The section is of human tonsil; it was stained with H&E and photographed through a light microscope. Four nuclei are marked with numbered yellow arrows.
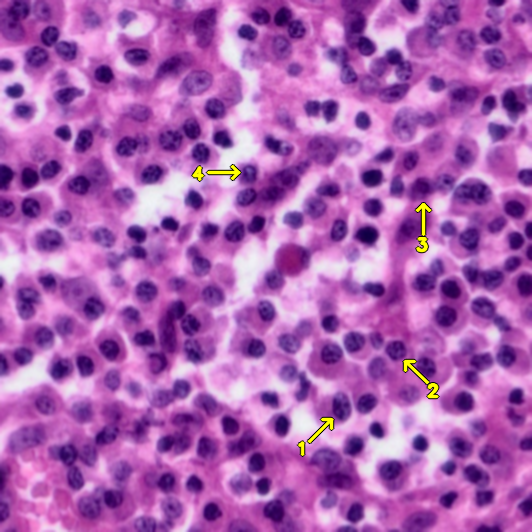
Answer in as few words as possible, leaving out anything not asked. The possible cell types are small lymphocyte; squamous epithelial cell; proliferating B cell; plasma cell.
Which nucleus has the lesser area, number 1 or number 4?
4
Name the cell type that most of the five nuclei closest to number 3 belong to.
plasma cell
